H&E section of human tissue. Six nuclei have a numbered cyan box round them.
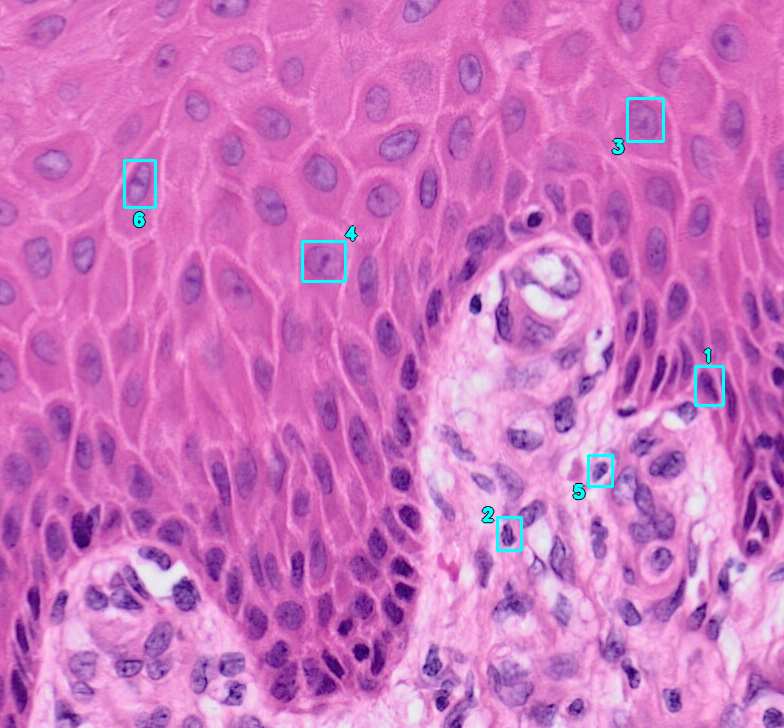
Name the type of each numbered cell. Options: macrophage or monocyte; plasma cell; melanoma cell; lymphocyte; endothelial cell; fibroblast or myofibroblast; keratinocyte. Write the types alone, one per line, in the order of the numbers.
keratinocyte
lymphocyte
keratinocyte
keratinocyte
lymphocyte
keratinocyte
